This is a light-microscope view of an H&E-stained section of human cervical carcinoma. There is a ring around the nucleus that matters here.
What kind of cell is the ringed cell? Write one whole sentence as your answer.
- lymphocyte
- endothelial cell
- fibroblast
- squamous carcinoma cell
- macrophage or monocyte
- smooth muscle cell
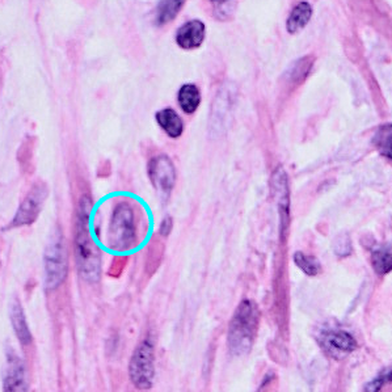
The ringed cell appears to be an endothelial cell.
